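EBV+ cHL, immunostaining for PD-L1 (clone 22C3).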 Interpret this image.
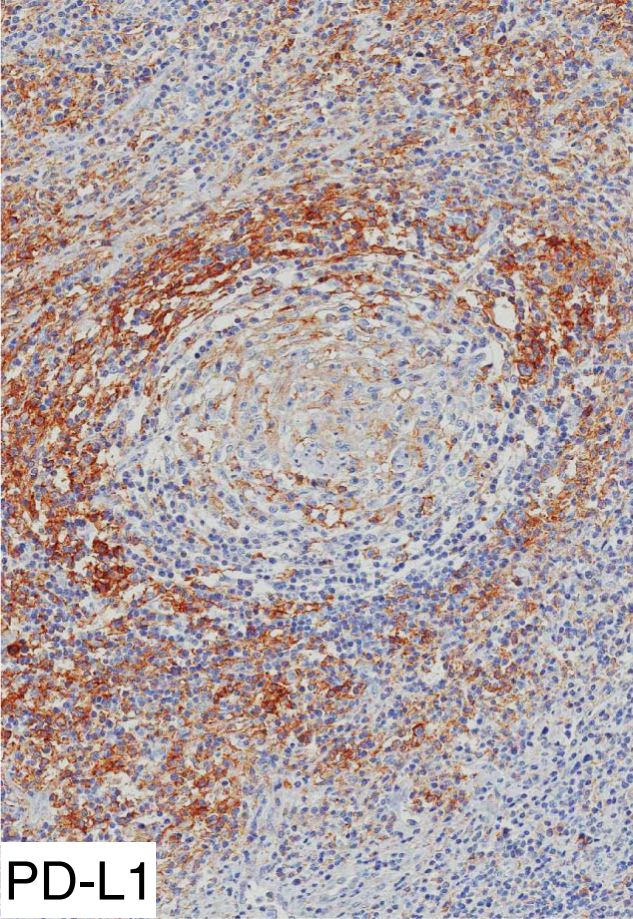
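This is lymphoid tissue with a rounded follicle at its centre, made of pale cells arranged in concentric layers with blue nuclei and only faint brown staining. Around it lies a dense band of brown-stained cells with granular to membranous cytoplasmic staining, thickest on the left and upper side. These stained cells are larger than the small lymphocytes scattered among them and are likely macrophages. Farther out, brown-stained cells thin into patchy clusters among blue-nucleated lymphocytes.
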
